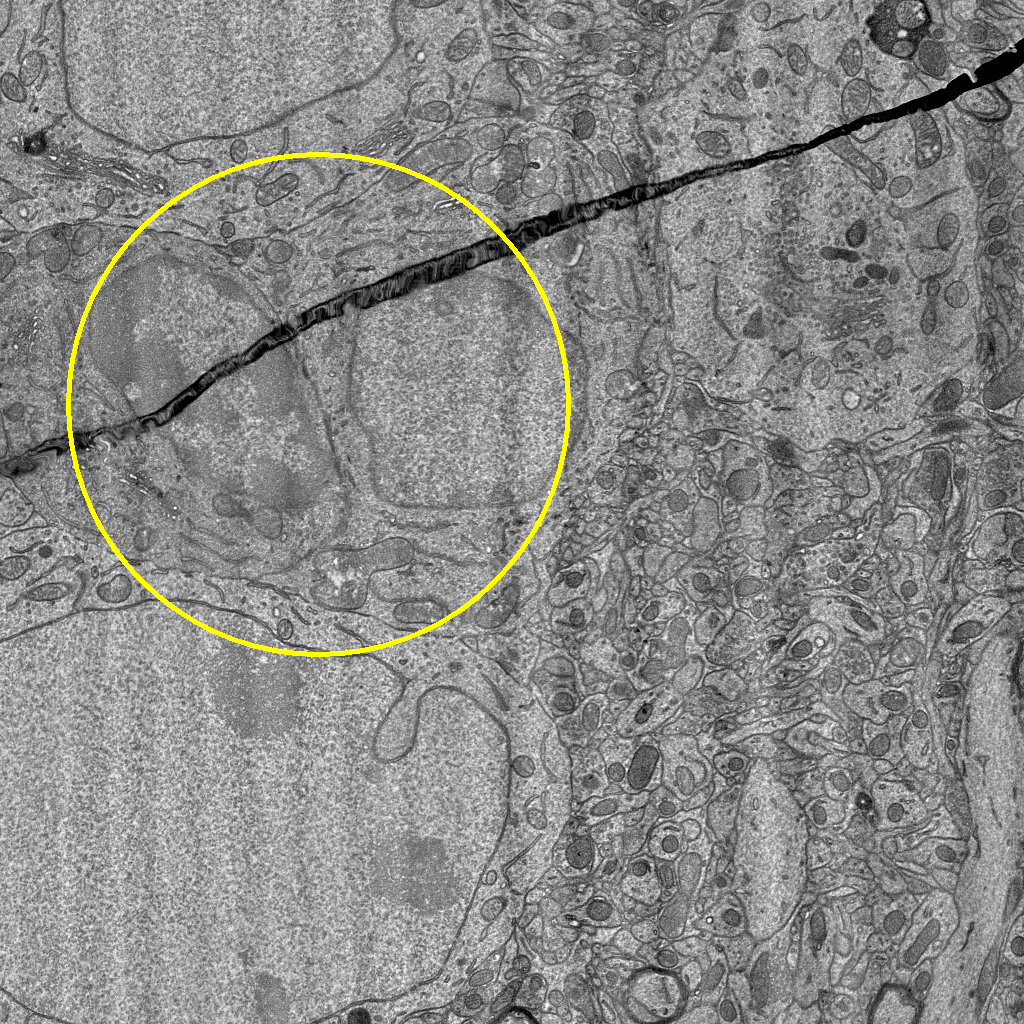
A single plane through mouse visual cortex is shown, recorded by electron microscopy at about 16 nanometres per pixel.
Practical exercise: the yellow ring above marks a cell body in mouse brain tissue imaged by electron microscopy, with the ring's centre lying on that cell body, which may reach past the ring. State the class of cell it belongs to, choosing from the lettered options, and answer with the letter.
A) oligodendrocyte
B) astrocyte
A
